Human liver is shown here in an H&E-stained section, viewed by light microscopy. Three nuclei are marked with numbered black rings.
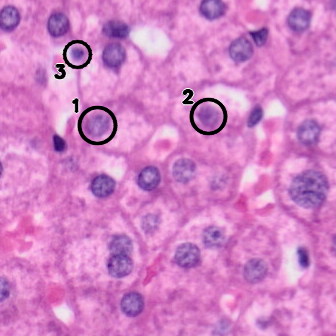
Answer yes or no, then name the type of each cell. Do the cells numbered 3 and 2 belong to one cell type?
No, that's wrong; cell 3 is a lymphocyte and cell 2 is a hepatocyte.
